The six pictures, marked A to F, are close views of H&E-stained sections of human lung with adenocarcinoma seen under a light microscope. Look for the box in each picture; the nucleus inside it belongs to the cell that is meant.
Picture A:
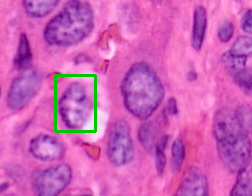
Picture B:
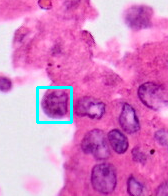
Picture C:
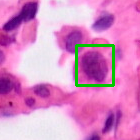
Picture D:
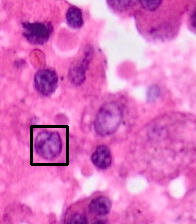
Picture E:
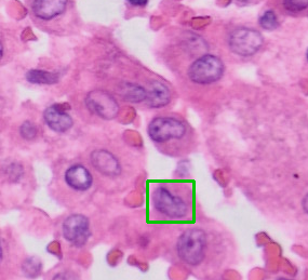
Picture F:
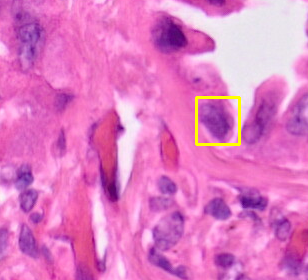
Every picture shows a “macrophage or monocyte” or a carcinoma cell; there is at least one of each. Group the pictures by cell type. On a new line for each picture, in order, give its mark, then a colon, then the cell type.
A: carcinoma cell
B: macrophage or monocyte
C: macrophage or monocyte
D: macrophage or monocyte
E: macrophage or monocyte
F: carcinoma cell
